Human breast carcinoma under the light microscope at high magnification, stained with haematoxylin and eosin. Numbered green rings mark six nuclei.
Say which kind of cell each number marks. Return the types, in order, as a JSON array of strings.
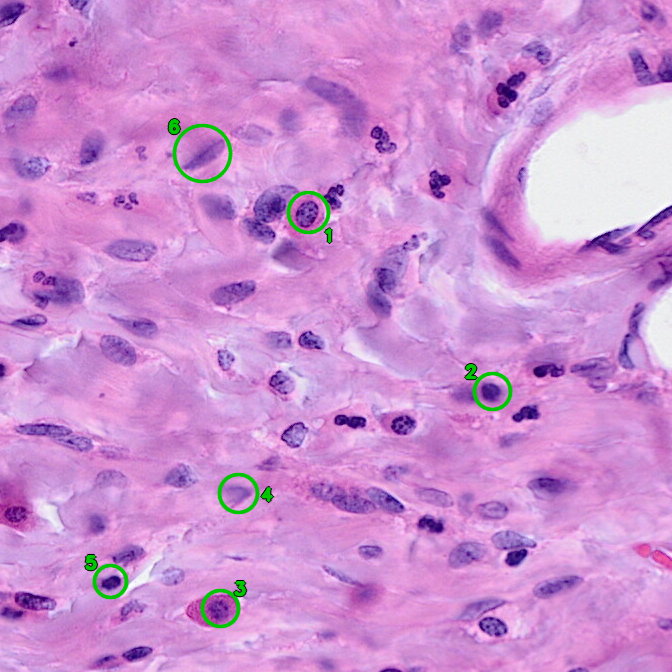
["mast cell", "lymphocyte", "mast cell", "fibroblast", "lymphocyte", "fibroblast"]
